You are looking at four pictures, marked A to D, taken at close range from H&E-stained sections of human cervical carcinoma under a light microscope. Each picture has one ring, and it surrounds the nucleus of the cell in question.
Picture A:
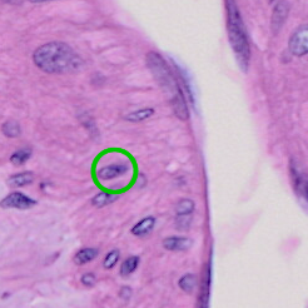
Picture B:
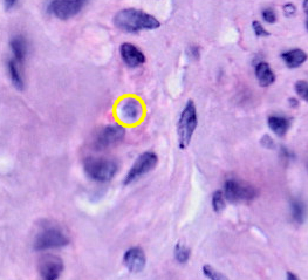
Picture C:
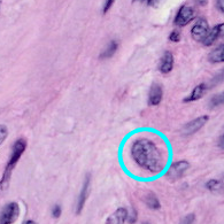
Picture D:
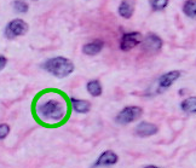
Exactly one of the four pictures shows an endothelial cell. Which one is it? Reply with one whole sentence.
The cell in picture B is the endothelial cell.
